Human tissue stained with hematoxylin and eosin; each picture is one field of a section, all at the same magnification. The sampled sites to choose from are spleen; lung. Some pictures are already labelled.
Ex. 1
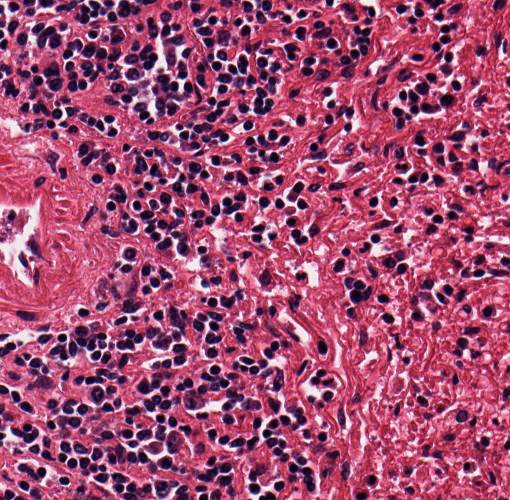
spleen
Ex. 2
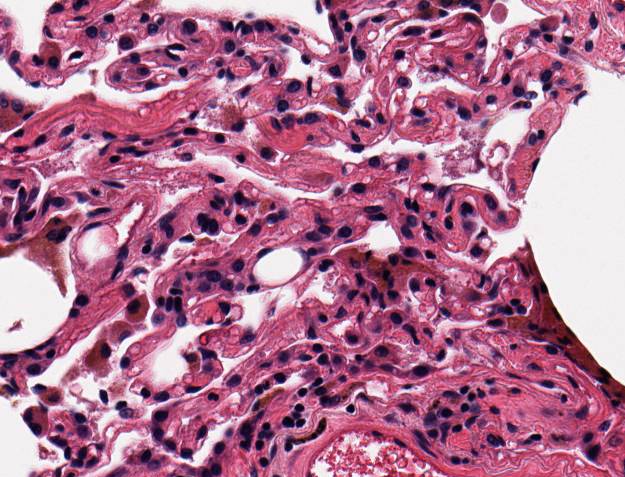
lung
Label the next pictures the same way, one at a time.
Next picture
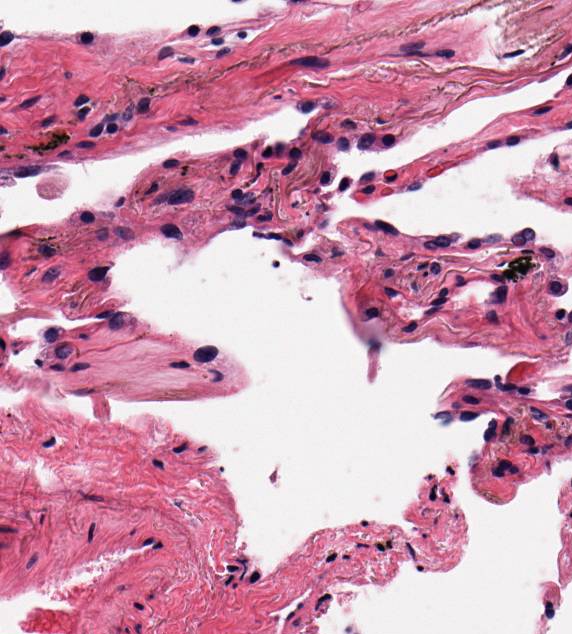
lung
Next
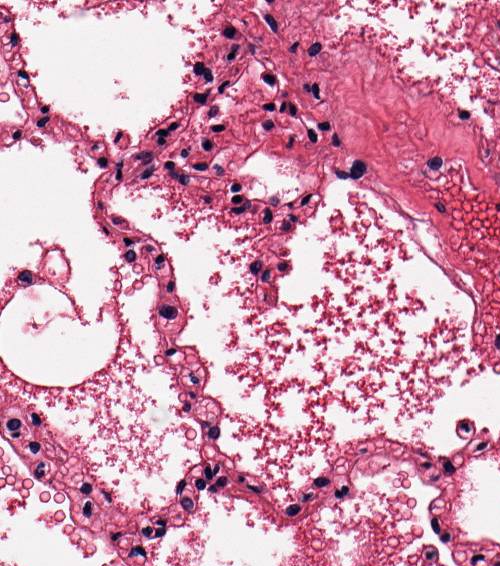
lung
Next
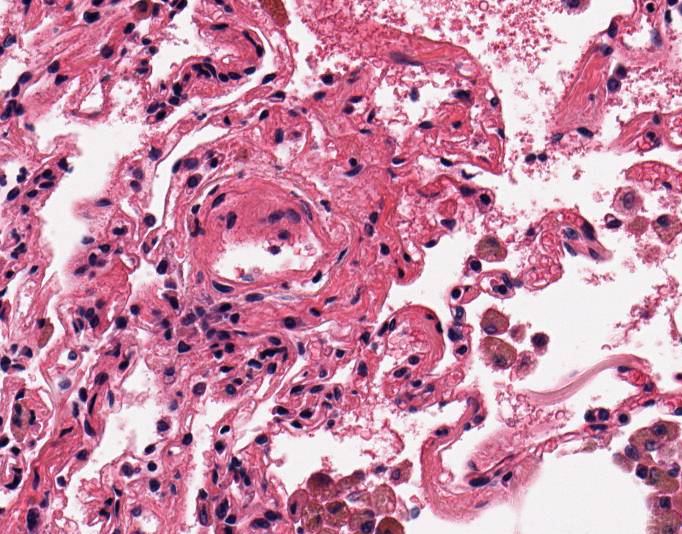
lung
